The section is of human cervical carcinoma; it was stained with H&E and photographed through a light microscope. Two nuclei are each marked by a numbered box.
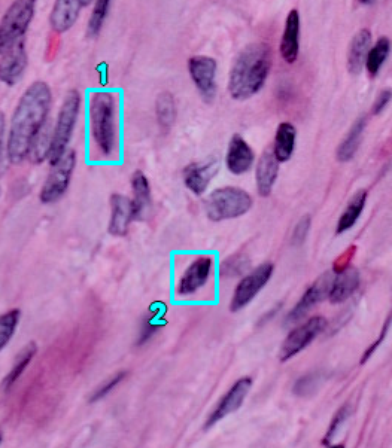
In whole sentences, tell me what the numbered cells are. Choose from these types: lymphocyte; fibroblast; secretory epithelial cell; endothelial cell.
Cell 1 is a fibroblast and cell 2 is a lymphocyte.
